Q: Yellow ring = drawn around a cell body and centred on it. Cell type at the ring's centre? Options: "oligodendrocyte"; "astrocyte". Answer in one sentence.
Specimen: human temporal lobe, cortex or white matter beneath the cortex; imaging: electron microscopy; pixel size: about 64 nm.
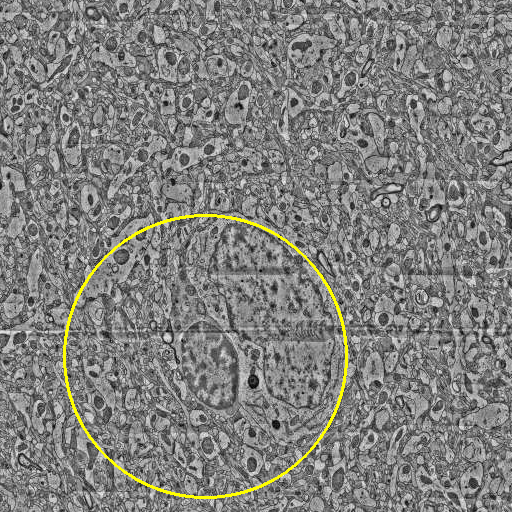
Centred in the ring is an oligodendrocyte.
